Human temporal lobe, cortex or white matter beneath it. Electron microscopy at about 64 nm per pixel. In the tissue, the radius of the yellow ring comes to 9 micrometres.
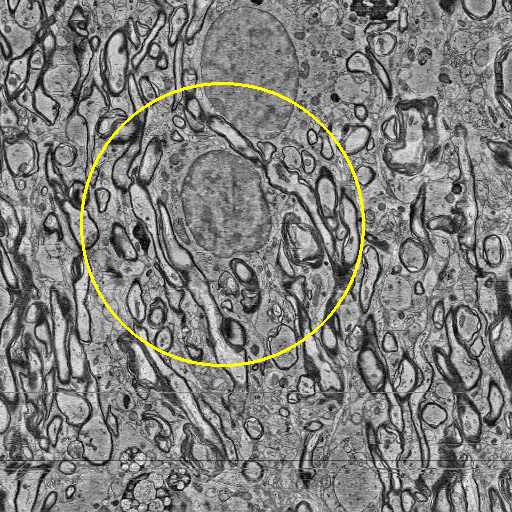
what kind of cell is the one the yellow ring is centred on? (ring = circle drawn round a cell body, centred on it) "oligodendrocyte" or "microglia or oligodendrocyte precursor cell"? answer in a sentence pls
The ring is drawn around an oligodendrocyte.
